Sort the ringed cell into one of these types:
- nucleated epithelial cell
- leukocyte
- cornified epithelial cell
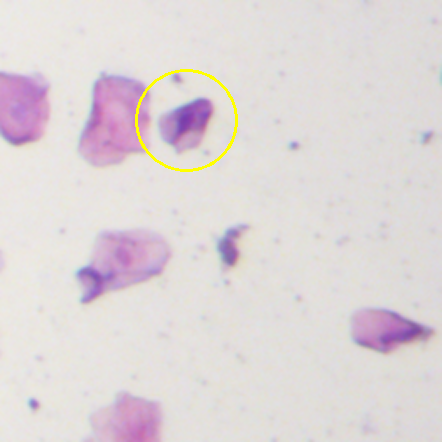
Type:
nucleated epithelial cell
